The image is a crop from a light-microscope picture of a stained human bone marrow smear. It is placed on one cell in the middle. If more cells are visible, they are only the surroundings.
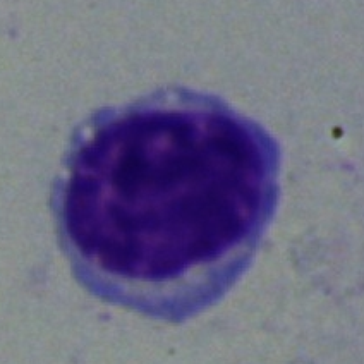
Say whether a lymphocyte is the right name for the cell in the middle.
yes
